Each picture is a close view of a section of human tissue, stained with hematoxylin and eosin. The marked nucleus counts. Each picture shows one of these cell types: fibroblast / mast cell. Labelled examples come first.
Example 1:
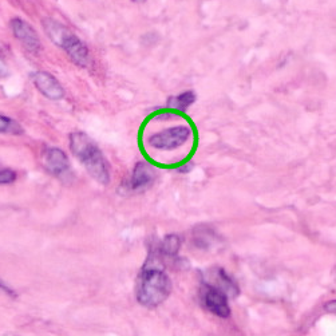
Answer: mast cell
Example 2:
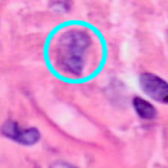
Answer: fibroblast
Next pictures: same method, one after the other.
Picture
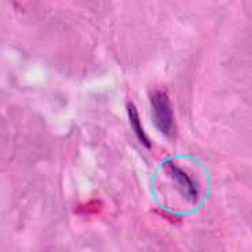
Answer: fibroblast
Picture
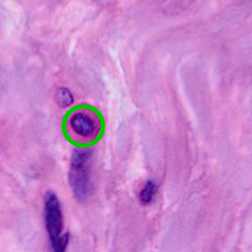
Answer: mast cell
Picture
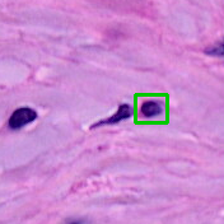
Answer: mast cell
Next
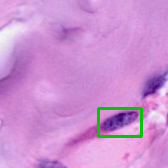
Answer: mast cell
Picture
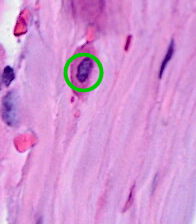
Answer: mast cell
